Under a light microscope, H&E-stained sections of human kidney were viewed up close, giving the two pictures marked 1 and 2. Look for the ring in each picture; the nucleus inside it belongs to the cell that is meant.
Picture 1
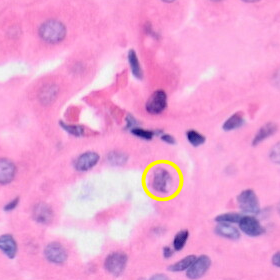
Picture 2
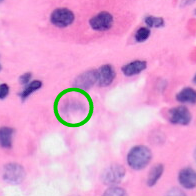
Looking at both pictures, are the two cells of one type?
yes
